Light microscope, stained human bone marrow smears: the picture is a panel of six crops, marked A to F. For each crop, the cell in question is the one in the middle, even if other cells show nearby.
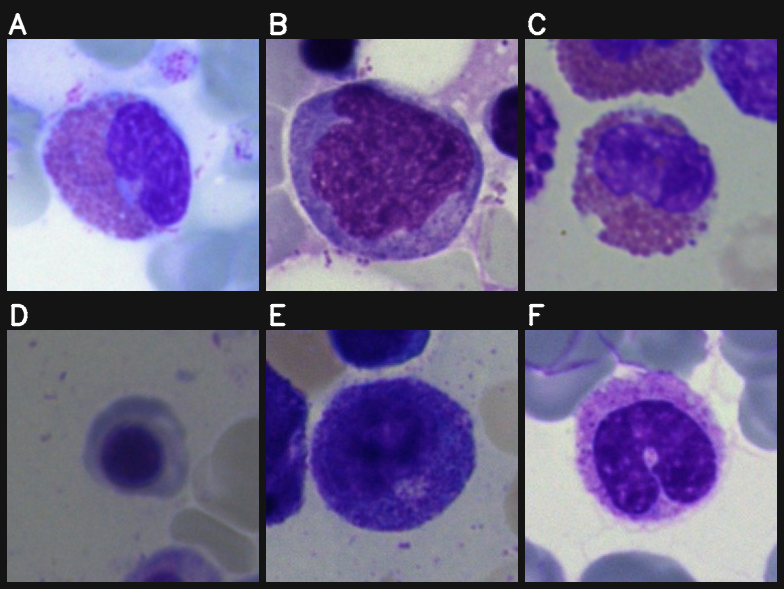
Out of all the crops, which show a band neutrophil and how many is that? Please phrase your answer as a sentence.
Only one of these crops has a band neutrophil at its centre, crop F.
